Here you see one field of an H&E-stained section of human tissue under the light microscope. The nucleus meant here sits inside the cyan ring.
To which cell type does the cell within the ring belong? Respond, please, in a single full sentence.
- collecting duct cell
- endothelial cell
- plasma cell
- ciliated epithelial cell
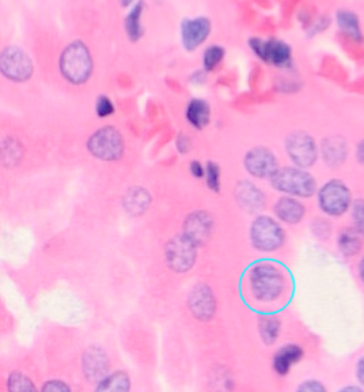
The cell type represented by the cell within the ring is that of a collecting duct cell.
